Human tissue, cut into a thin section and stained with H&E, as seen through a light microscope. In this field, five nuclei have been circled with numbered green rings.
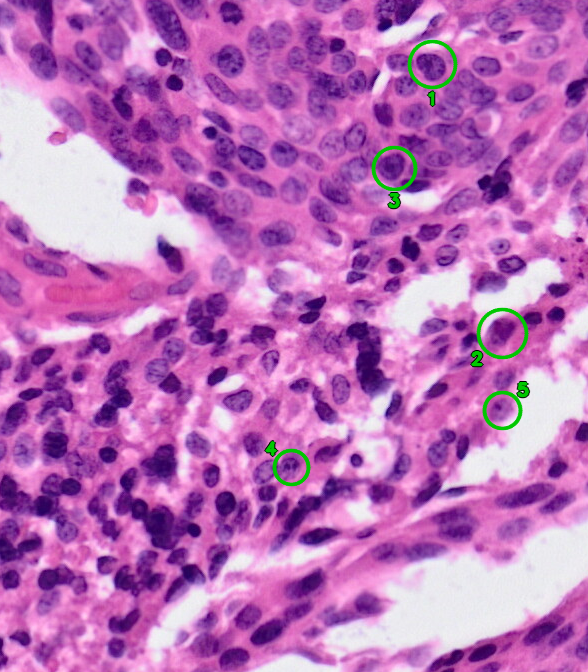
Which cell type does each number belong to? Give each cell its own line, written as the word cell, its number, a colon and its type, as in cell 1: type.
cell 1: carcinoma cell
cell 2: carcinoma cell
cell 3: carcinoma cell
cell 4: macrophage or monocyte
cell 5: macrophage or monocyte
